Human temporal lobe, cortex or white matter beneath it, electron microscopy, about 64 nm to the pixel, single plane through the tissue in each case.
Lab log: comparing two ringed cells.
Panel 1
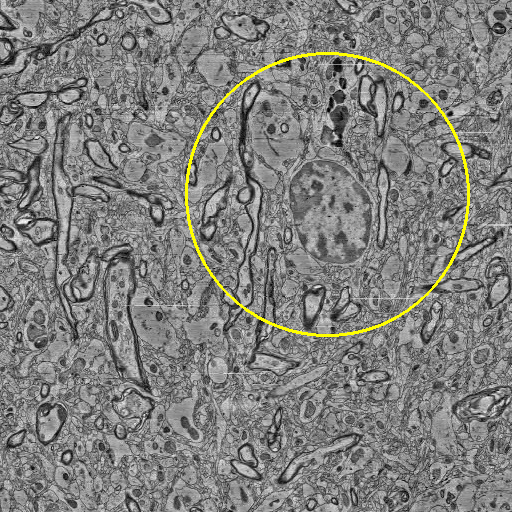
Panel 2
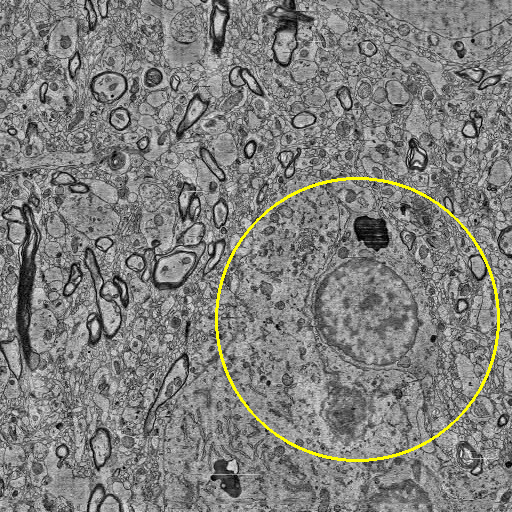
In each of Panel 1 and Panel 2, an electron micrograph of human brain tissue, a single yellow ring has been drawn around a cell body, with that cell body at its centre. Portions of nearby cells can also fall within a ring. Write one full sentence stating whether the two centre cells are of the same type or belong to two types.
The cells at the ring centres in Panel 1 and Panel 2 belong to two types.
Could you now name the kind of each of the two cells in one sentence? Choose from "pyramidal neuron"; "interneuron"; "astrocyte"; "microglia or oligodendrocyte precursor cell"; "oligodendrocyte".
The first ring encloses a microglial cell or oligodendrocyte precursor cell; the second ring encloses an oligodendrocyte.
